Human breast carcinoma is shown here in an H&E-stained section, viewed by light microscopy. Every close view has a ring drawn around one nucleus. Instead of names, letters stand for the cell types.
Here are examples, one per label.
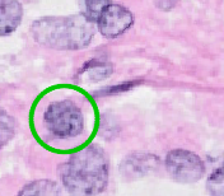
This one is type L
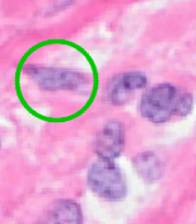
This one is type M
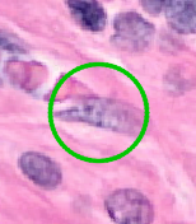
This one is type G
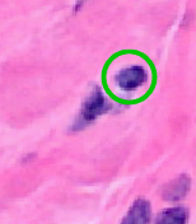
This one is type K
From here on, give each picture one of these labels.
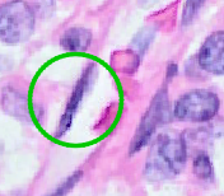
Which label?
type G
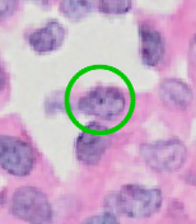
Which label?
type L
